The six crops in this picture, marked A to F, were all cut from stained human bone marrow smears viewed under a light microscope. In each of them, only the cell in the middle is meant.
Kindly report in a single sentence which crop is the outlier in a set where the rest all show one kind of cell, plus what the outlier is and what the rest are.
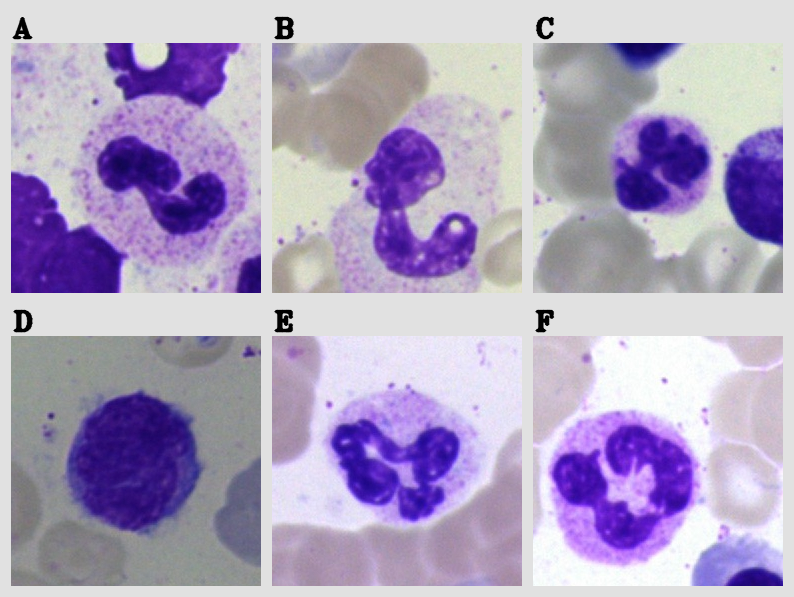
Crop D is a monocyte, the one exception to the segmented neutrophils of the other crops.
